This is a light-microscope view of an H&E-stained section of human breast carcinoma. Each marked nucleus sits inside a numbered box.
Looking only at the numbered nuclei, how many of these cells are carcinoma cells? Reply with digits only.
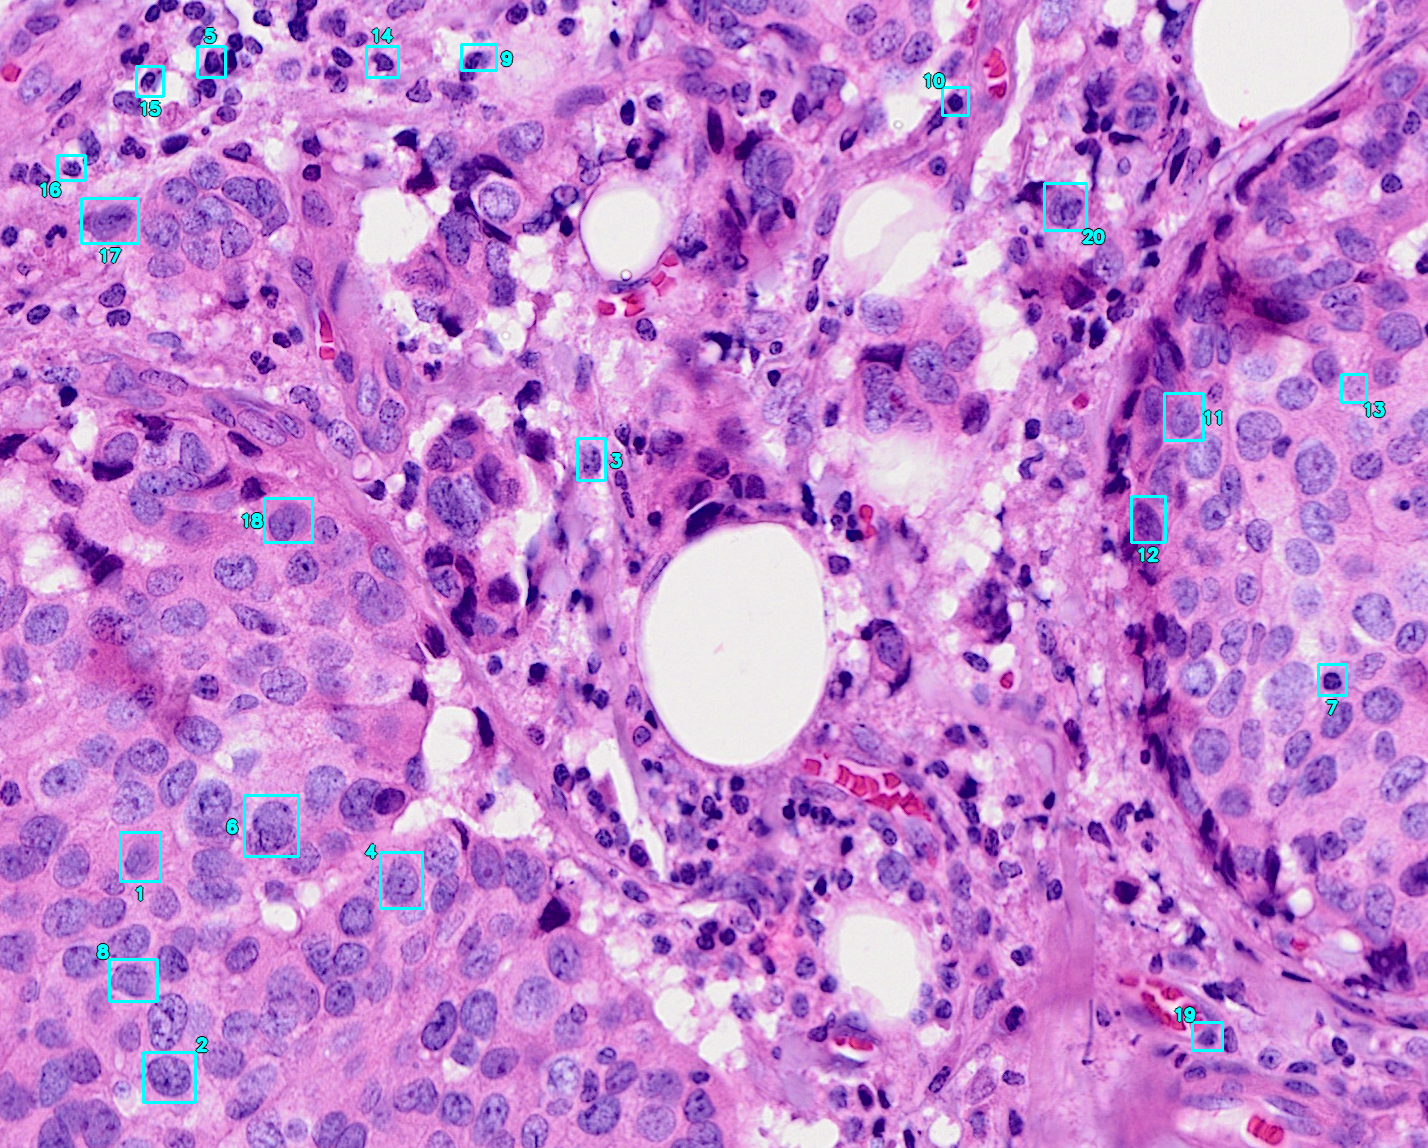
11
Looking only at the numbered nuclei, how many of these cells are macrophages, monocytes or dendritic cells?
1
